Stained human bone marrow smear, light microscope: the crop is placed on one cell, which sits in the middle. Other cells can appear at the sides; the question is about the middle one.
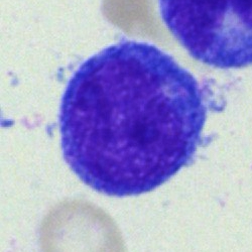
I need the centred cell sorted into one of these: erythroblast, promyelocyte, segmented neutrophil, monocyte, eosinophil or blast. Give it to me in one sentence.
For this crop, the cell in the middle is a blast.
